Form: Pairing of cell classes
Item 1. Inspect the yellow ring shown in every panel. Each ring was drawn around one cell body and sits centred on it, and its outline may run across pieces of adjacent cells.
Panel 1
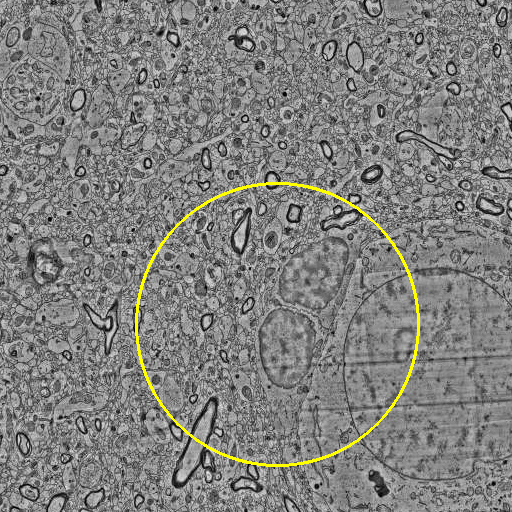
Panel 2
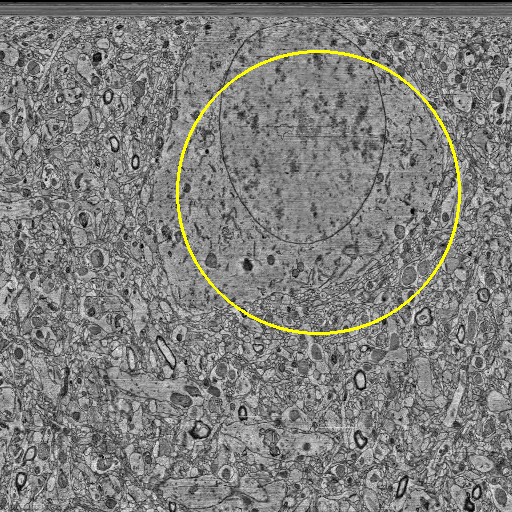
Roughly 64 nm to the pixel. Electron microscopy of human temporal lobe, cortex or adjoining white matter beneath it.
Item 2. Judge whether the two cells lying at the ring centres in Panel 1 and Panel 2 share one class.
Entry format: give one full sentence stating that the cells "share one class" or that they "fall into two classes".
The cells at the ring centres in Panel 1 and Panel 2 fall into two classes.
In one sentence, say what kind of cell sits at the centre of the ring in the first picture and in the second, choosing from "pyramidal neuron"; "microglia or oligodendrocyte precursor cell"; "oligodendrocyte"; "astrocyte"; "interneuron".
The first picture's ringed cell is an oligodendrocyte, while the second picture's is a pyramidal neuron.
